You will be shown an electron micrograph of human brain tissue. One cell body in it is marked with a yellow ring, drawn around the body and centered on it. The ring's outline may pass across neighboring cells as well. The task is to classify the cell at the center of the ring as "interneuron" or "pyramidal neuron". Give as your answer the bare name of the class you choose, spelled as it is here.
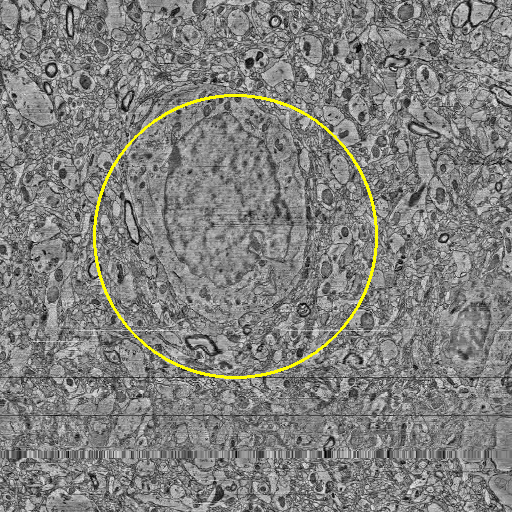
interneuron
